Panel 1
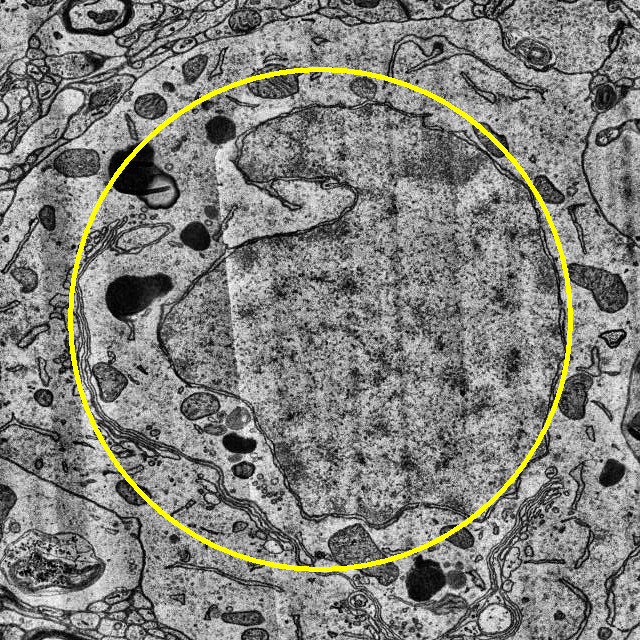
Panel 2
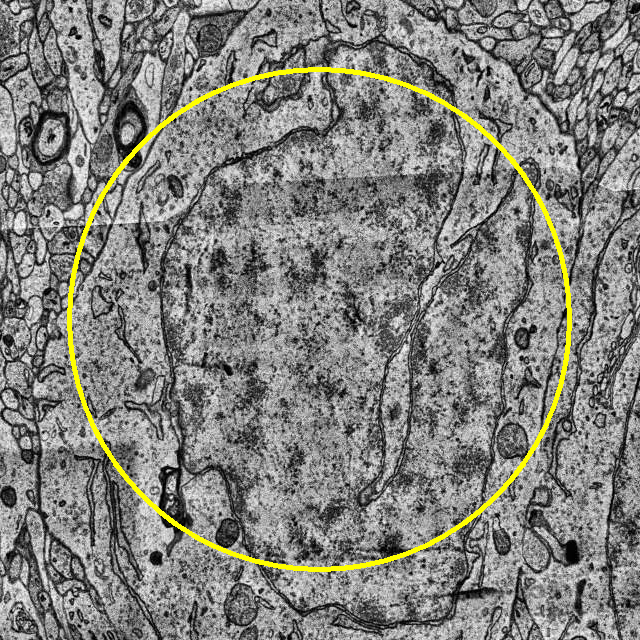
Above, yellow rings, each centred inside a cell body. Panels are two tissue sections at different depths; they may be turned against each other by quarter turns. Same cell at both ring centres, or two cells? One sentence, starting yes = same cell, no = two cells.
No, the rings mark two cells rather than a single cell.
